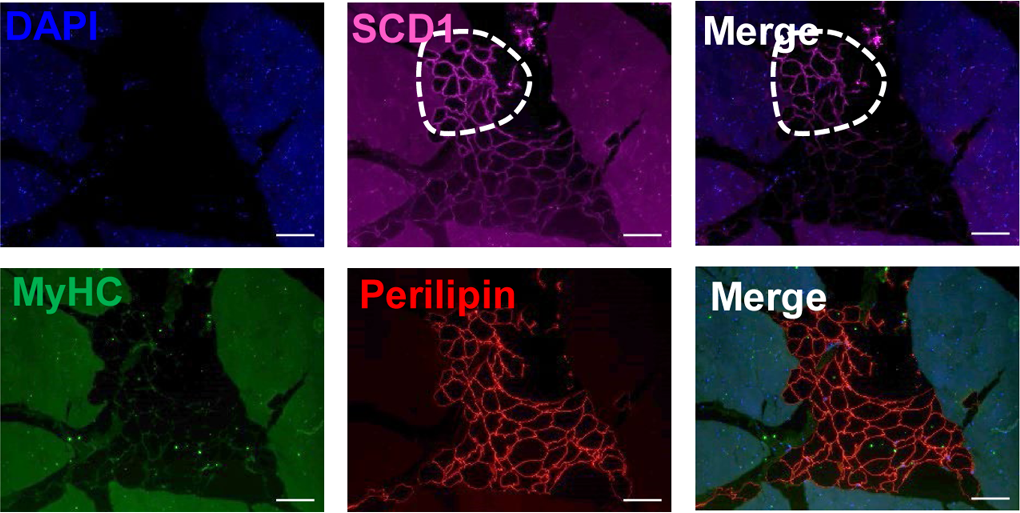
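This is skeletal muscle with a small pocket of fat cells lying between large muscle fibers. The muscle fibers appear as broad, smooth green areas, while the fat cells form a honeycomb of small polygonal cells outlined by thin red or pink rings with empty-looking interiors. The fat cluster occupies only a wedge between the fibers, and blue nuclei are sparse.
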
